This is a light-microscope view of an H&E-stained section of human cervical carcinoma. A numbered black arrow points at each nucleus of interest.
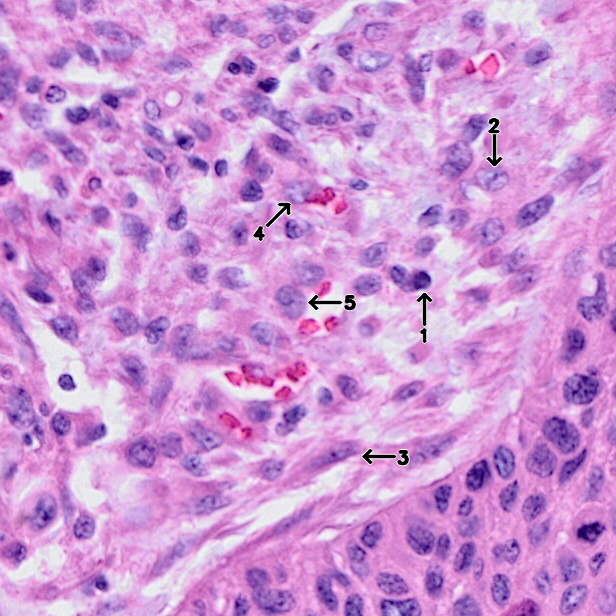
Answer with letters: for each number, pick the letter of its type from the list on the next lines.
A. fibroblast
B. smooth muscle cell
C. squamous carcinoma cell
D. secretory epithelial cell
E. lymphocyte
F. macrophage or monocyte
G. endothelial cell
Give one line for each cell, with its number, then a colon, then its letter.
1: E
2: G
3: A
4: G
5: G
